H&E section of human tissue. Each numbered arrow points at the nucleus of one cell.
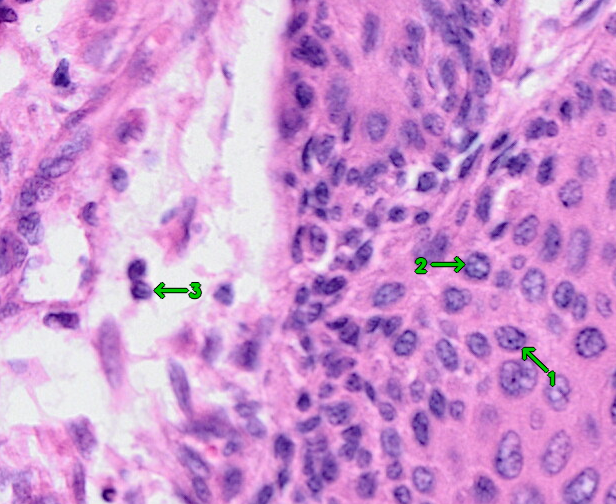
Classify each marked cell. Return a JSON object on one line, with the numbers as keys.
{"1": "squamous carcinoma cell", "2": "squamous carcinoma cell", "3": "lymphocyte"}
